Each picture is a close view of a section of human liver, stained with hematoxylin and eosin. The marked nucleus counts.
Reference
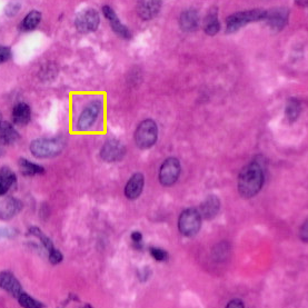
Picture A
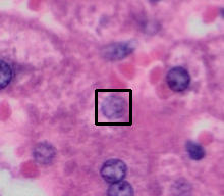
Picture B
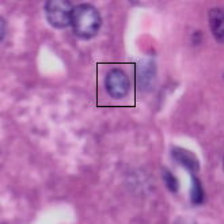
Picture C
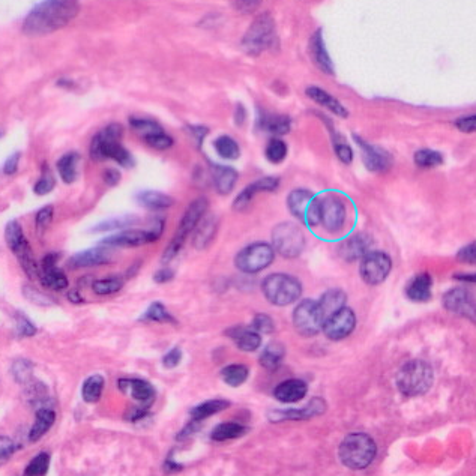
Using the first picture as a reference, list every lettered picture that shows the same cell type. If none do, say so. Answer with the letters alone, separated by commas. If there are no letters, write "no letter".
B, C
